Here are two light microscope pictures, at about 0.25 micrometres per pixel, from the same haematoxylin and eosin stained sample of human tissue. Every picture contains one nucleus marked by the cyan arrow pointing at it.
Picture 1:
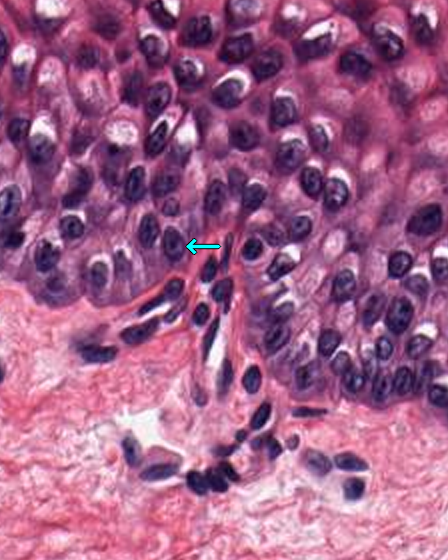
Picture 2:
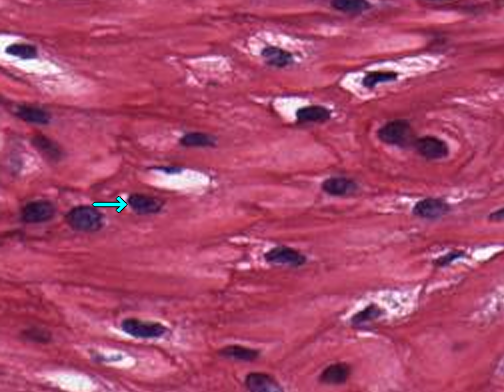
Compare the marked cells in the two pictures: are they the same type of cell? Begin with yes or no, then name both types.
Yes, both are squamous epithelial cells.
